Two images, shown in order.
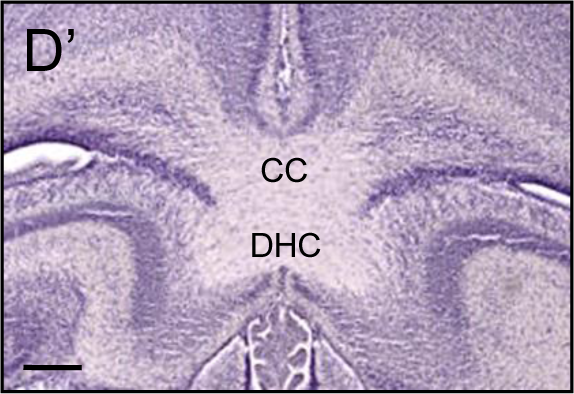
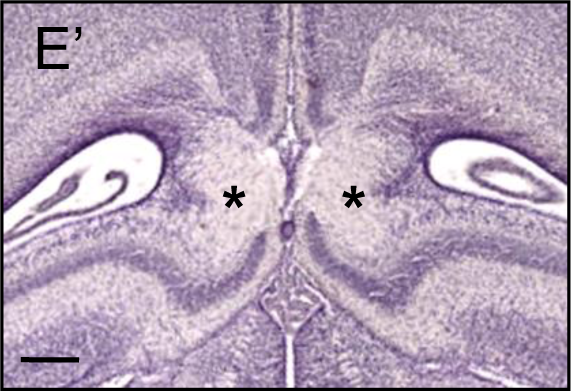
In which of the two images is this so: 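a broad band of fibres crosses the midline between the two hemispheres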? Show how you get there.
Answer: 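Second image: the hemispheres meet at a thin seam and pale fibre masses stay on either side of the midline. First image: a wide pale fibre band runs continuously across the midline. That points to this answer: the first image.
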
